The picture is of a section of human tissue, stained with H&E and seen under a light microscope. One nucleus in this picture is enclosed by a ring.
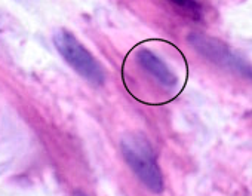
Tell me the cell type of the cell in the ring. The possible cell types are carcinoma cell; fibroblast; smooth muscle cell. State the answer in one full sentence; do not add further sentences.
Just put down that the cell in the ring is a smooth muscle cell.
